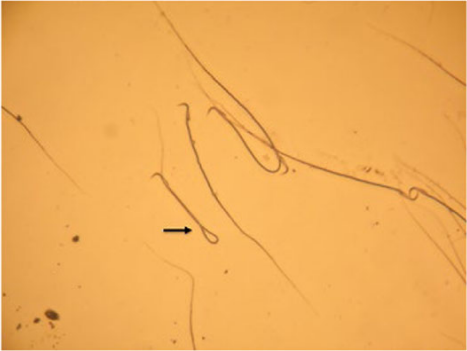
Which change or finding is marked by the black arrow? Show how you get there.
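A spermatozoon with an attached tail to the head. The arrow points to the end of a thread-like sperm where the tail bends back in a tight loop.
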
